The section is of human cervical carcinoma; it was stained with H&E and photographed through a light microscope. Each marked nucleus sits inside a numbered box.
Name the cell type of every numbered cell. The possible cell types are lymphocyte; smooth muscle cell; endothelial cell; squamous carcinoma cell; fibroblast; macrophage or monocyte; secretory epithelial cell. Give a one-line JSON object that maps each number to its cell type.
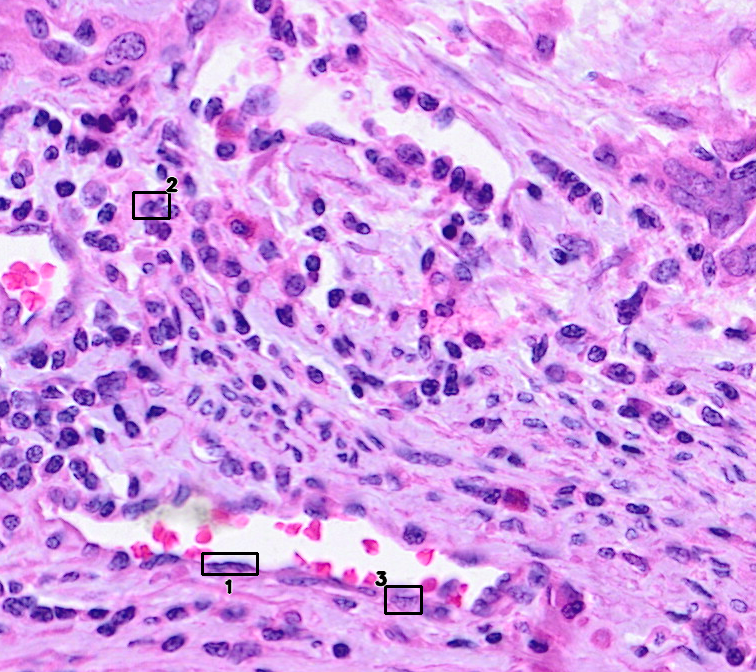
{"1": "endothelial cell", "2": "lymphocyte", "3": "endothelial cell"}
